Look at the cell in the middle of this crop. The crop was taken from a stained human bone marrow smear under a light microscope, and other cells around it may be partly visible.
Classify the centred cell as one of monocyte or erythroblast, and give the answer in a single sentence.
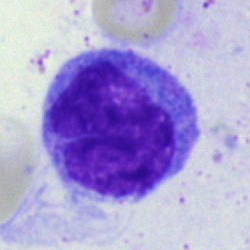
Within this crop, a monocyte occupies the central position.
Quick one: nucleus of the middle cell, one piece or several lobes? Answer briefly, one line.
A single compact nucleus, round, oval or kidney-shaped, is what this cell shows.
